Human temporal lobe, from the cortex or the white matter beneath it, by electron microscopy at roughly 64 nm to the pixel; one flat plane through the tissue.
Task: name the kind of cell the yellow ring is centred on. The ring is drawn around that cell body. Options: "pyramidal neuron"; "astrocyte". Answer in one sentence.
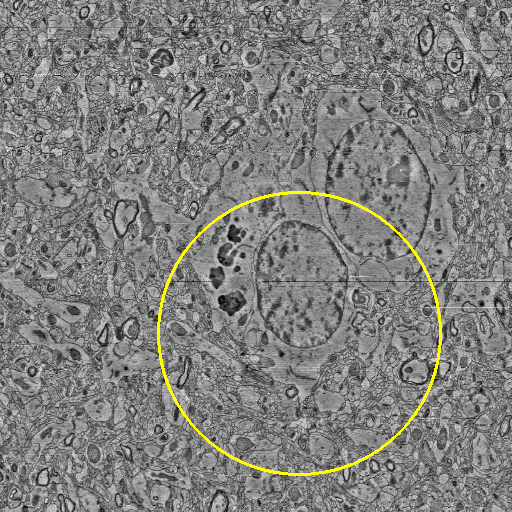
This cell body belongs to an astrocyte.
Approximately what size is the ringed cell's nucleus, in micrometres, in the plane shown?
About 8 by 6 micrometres in this plane.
